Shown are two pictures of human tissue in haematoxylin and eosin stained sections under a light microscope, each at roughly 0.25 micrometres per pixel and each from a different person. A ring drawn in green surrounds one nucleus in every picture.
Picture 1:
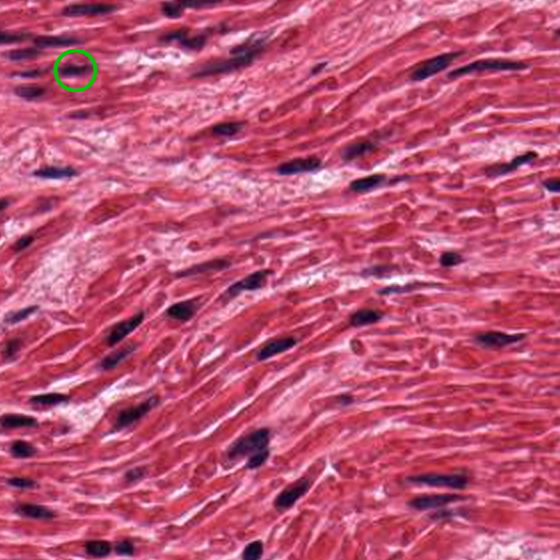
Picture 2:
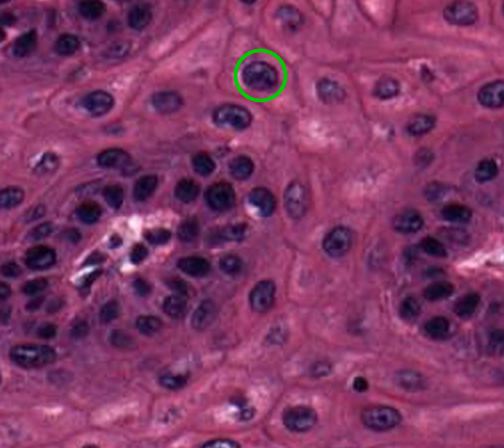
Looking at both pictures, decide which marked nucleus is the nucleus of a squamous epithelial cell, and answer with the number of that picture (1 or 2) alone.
2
